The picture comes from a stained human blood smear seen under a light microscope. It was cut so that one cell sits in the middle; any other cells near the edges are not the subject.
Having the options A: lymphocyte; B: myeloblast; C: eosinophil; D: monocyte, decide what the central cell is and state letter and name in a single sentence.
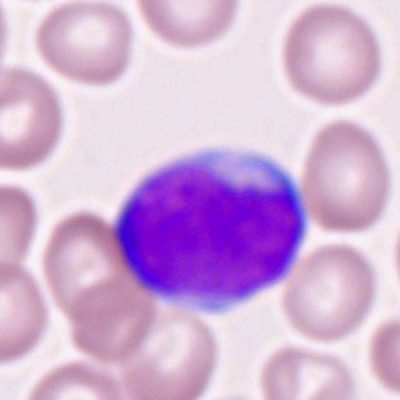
The cell shown centrally is a myeloblast; option B is the correct option.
